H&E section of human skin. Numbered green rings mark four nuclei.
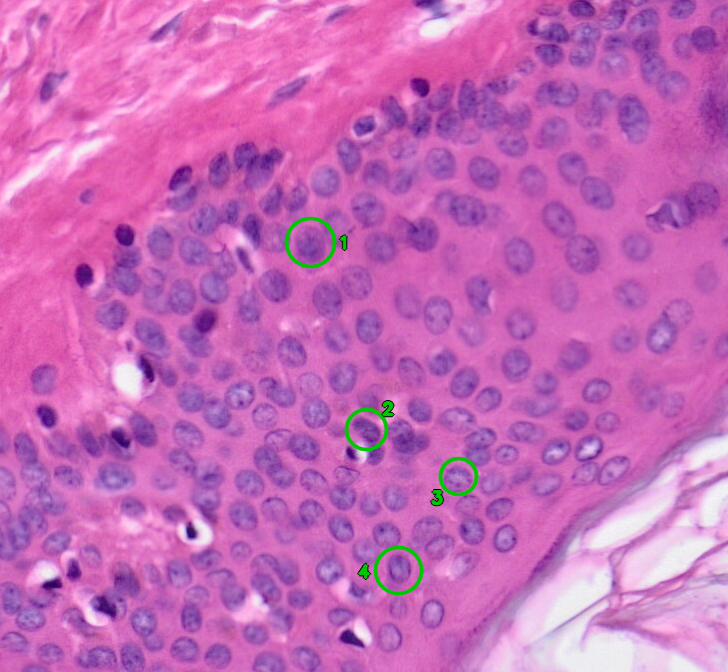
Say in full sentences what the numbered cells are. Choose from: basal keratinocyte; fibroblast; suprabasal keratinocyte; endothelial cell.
Cells 1, 3 and 4 are suprabasal keratinocytes. Cell 2 is a basal keratinocyte.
